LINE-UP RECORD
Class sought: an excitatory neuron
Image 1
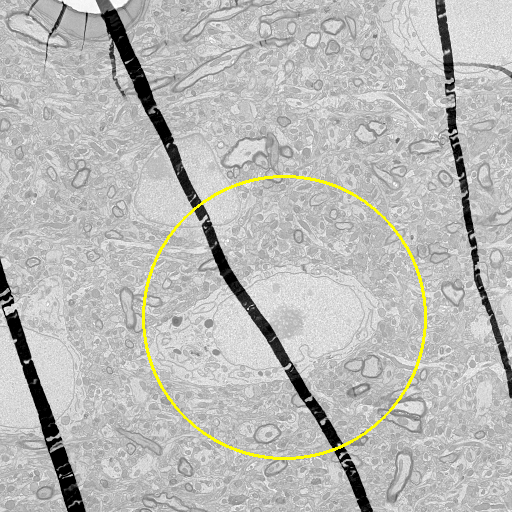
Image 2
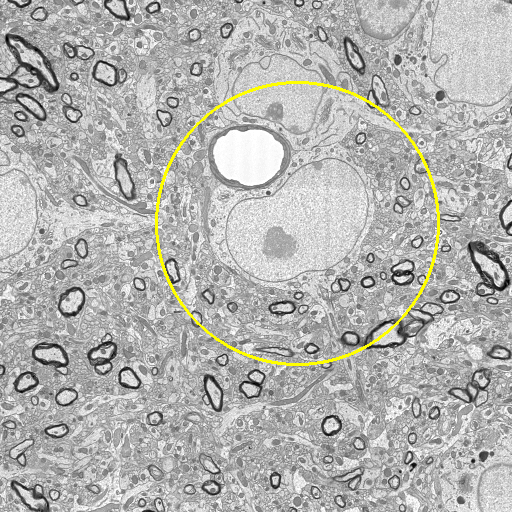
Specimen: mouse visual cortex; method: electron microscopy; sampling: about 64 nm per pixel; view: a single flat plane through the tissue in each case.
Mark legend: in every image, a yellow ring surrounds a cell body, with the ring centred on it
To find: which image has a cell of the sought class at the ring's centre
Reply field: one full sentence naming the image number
The ring-centred cell of image 2 belongs to the class sought.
